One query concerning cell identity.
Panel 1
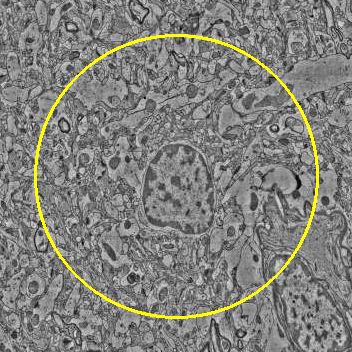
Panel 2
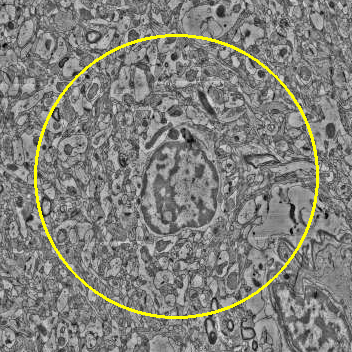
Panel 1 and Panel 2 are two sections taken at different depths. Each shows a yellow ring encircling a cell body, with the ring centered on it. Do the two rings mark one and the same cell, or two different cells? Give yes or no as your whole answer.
yes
